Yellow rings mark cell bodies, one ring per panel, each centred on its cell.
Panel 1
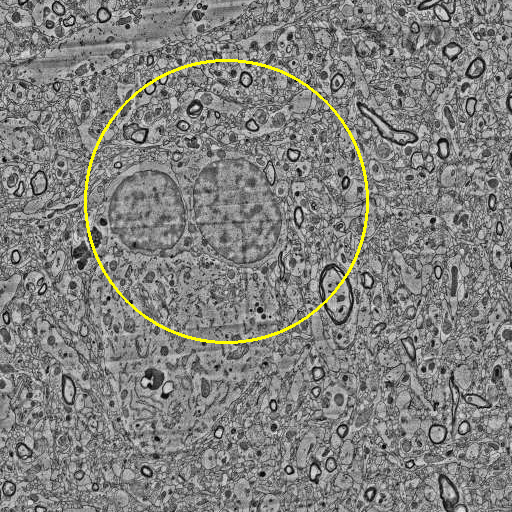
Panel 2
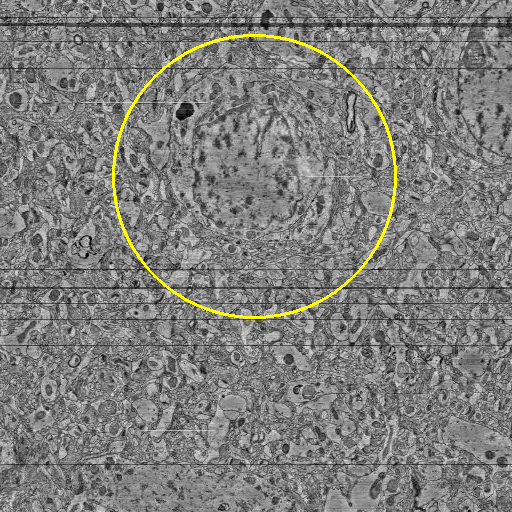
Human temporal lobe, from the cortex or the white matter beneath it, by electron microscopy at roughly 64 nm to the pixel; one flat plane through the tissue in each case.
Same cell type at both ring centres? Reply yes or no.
no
